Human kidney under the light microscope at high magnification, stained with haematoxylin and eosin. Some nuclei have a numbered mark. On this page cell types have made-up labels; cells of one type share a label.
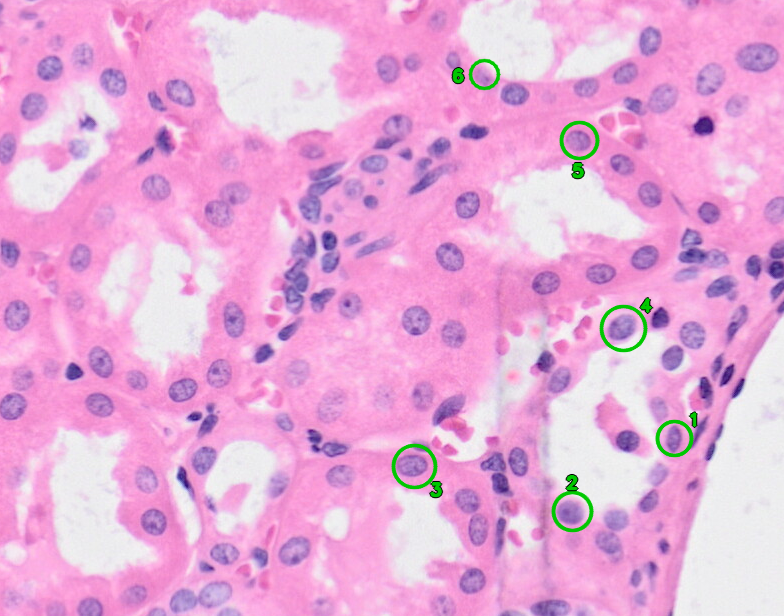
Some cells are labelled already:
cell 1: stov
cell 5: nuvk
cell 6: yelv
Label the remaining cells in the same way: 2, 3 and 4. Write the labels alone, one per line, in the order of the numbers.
stov
nuvk
stov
